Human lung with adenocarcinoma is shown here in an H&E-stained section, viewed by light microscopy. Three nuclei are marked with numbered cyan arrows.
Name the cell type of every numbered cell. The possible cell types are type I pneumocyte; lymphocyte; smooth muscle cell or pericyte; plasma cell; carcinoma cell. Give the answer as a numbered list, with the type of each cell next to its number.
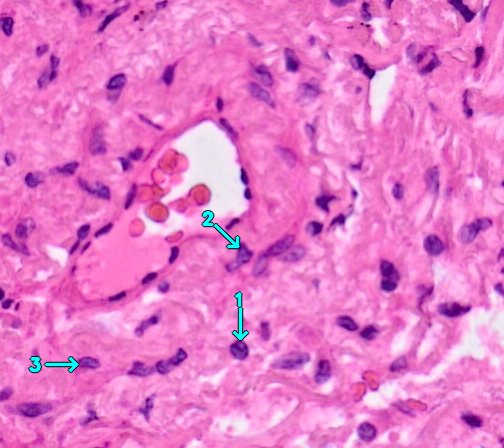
1. lymphocyte
2. smooth muscle cell or pericyte
3. smooth muscle cell or pericyte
